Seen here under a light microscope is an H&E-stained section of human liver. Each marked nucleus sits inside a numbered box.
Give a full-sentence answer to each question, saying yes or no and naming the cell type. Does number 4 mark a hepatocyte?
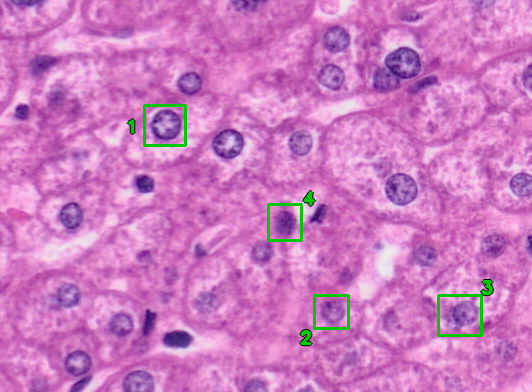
No, cell 4 has been misnamed; it is an endothelial cell, not a hepatocyte.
